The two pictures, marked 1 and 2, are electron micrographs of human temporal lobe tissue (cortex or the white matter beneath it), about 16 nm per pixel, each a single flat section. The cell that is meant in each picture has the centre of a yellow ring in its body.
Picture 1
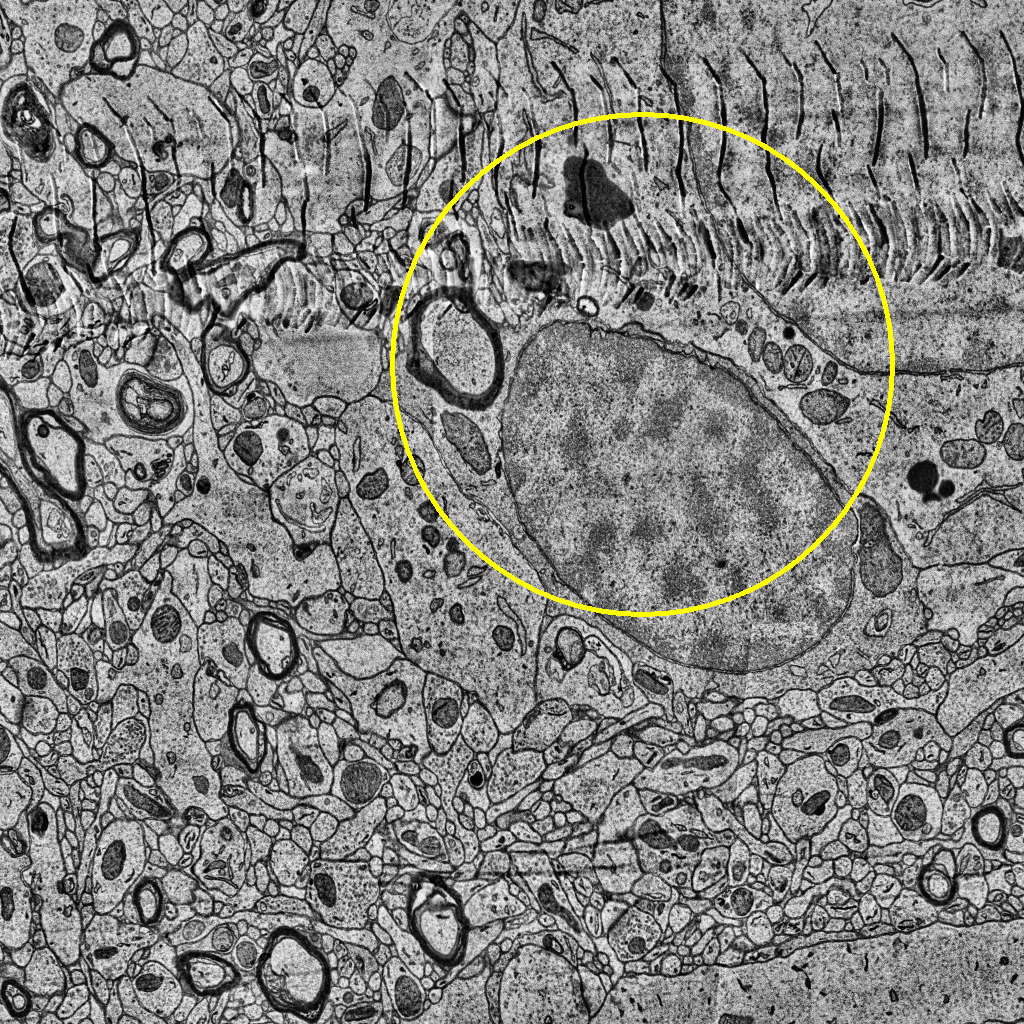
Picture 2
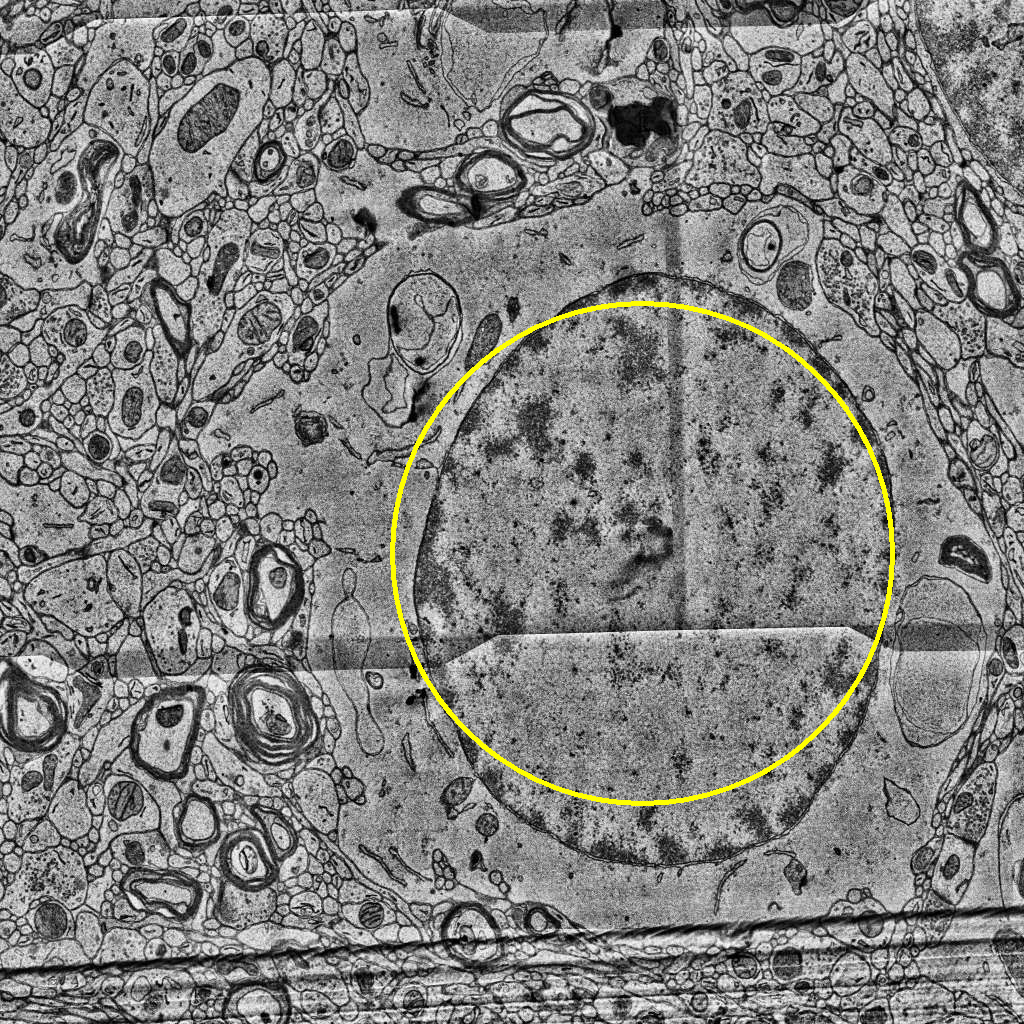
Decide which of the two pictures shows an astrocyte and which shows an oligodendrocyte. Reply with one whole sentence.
Picture 1 is of an oligodendrocyte, and picture 2 is of an astrocyte.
